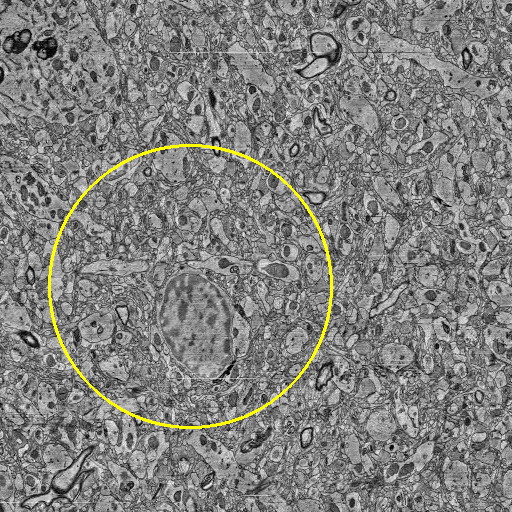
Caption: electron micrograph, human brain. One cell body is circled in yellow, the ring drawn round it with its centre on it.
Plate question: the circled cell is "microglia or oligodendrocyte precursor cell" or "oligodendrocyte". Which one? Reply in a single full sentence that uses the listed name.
The yellow ring on the plate is centred on an oligodendrocyte, going by the listed names.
